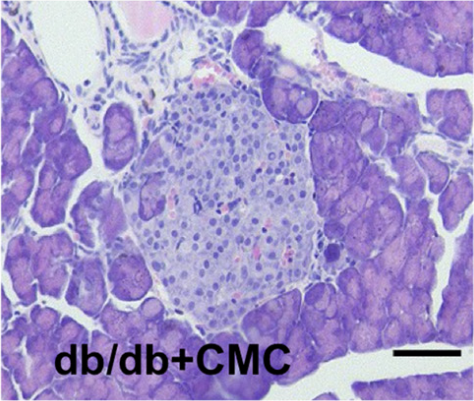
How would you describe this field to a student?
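The islet cells are pale with round dark nuclei, and a few small red-filled capillaries lie within the cluster. The surrounding acinar cells have deeply purple cytoplasm and form packed acini. Clear spaces separate lobules at the edges of the field.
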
